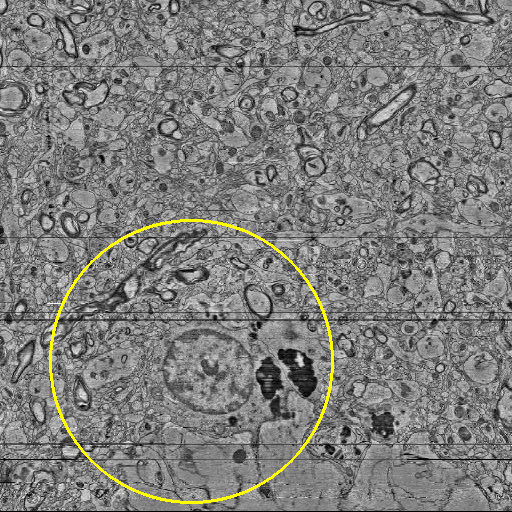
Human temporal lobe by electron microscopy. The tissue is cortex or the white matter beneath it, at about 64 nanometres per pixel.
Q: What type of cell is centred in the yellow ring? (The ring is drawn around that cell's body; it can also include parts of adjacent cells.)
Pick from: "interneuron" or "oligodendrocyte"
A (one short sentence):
The yellow ring is centred on an oligodendrocyte.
